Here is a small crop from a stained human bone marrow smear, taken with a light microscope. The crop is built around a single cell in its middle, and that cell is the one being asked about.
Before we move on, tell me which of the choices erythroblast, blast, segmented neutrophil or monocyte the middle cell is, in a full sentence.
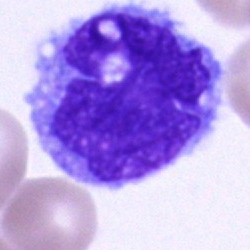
Among the cells in view, the one in the middle is a monocyte.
